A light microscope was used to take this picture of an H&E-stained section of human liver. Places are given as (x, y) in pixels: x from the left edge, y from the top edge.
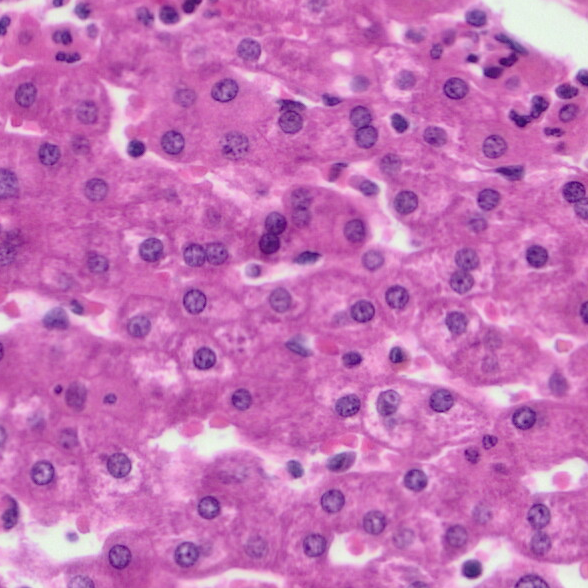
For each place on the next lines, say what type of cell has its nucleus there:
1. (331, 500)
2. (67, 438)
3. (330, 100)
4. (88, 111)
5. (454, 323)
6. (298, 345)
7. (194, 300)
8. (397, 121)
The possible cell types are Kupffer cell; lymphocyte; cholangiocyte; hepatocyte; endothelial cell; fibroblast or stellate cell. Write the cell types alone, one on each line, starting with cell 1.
hepatocyte
hepatocyte
fibroblast or stellate cell
hepatocyte
hepatocyte
endothelial cell
hepatocyte
lymphocyte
